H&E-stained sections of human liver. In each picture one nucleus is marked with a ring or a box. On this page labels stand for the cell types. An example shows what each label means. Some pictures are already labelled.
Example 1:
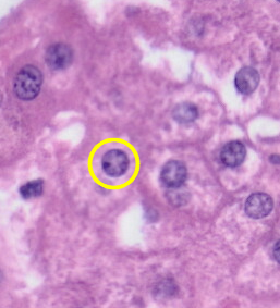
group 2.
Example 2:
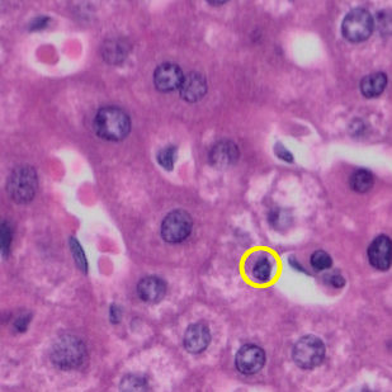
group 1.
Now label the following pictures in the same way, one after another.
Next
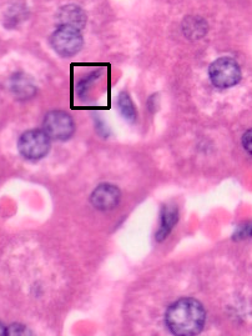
group 1.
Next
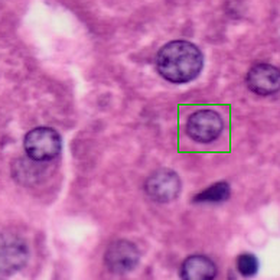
group 2.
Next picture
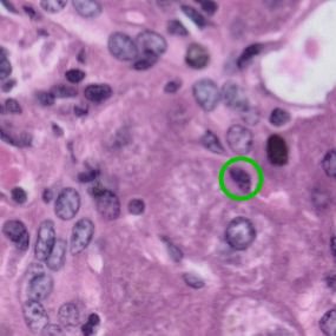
group 1.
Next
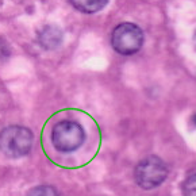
group 2.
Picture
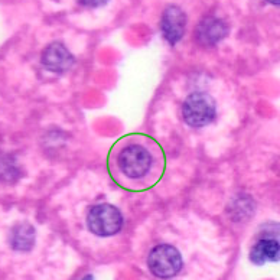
group 2.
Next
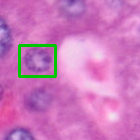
group 2.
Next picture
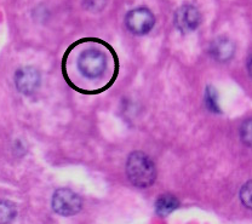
group 2.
